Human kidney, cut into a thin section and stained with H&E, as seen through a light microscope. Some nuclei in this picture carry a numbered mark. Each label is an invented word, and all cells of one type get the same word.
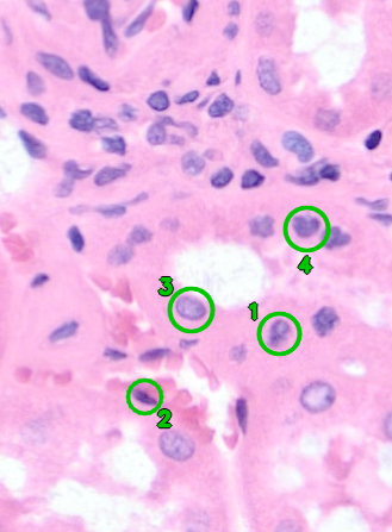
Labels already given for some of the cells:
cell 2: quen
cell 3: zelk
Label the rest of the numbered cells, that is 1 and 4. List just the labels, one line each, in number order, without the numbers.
zelk
zelk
